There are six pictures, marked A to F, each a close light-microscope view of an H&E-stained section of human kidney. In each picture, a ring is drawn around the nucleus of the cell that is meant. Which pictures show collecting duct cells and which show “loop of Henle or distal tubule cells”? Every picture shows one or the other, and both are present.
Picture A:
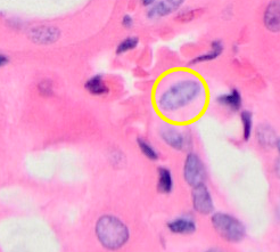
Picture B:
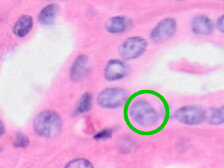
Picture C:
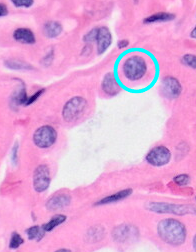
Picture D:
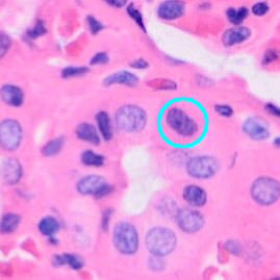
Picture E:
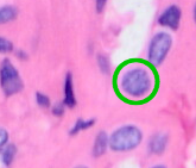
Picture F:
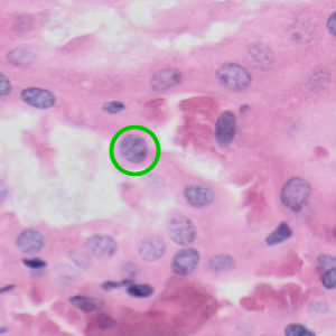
A: collecting duct cell
B: collecting duct cell
C: loop of Henle or distal tubule cell
D: collecting duct cell
E: collecting duct cell
F: loop of Henle or distal tubule cell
